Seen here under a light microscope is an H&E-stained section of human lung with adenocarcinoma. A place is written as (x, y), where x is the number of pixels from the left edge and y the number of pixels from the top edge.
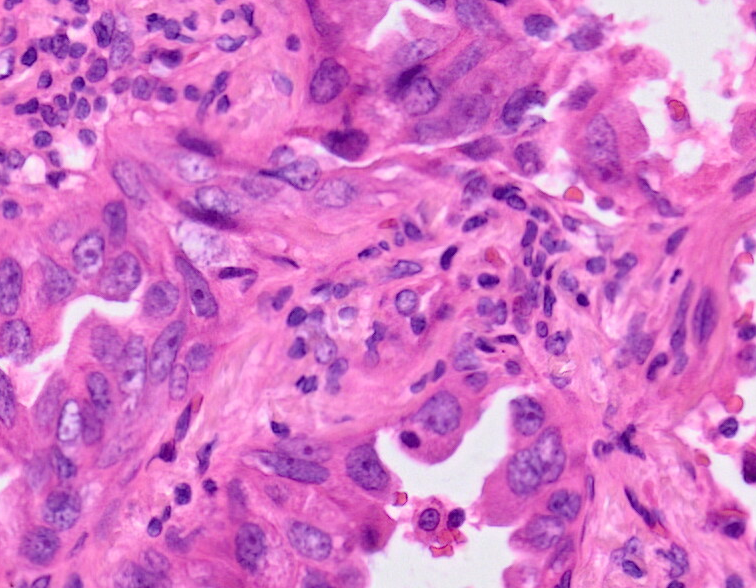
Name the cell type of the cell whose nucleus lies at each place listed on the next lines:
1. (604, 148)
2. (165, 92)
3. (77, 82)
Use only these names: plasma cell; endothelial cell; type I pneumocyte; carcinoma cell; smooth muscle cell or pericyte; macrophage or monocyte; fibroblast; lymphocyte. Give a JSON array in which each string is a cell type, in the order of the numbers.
["carcinoma cell", "lymphocyte", "lymphocyte"]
